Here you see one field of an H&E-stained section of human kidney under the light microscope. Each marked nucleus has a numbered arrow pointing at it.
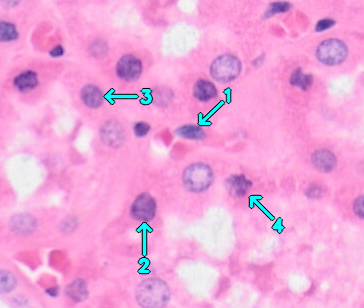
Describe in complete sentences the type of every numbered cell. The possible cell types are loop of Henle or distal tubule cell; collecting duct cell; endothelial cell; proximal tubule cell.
Cell 1 is an endothelial cell. Cells 2, 3 and 4 are proximal tubule cells.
